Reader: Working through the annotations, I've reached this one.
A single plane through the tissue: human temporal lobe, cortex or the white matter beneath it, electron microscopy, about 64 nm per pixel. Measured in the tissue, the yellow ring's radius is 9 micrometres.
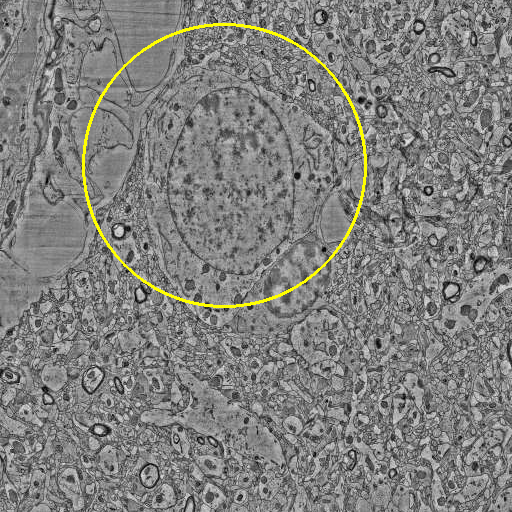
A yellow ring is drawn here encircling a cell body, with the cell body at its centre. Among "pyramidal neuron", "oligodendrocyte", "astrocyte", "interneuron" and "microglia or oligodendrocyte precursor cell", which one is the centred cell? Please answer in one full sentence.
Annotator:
The cell body at the centre of the yellow ring in this image belongs to a pyramidal neuron.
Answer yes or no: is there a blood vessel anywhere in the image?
Yes, a blood vessel is present in this picture.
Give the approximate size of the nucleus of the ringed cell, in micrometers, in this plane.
In this plane the nucleus measures roughly 12 by 8 micrometres.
